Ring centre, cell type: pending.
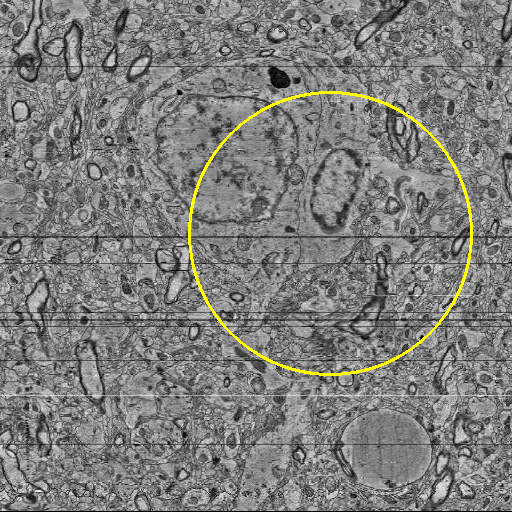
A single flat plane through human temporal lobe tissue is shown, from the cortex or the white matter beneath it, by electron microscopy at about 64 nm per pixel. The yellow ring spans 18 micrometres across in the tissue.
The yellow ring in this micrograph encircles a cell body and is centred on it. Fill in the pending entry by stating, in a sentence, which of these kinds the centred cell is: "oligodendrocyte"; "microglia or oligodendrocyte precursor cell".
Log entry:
The centred cell is recorded as a microglial cell or oligodendrocyte precursor cell.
